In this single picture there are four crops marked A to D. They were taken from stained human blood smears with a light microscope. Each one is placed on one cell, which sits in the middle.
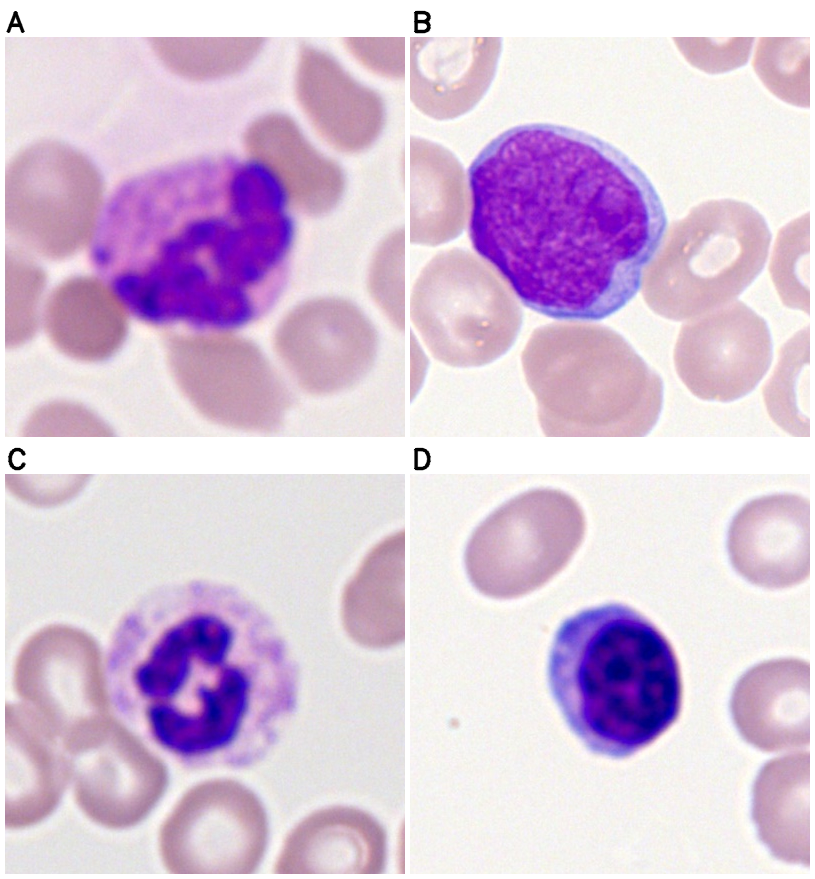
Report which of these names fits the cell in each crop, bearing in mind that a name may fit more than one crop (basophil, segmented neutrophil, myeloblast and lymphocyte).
A: basophil
B: myeloblast
C: segmented neutrophil
D: lymphocyte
